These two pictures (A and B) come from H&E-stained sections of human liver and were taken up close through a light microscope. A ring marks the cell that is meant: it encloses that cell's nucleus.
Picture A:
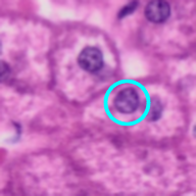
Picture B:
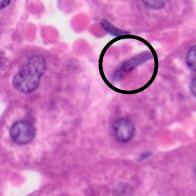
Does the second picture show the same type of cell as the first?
no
